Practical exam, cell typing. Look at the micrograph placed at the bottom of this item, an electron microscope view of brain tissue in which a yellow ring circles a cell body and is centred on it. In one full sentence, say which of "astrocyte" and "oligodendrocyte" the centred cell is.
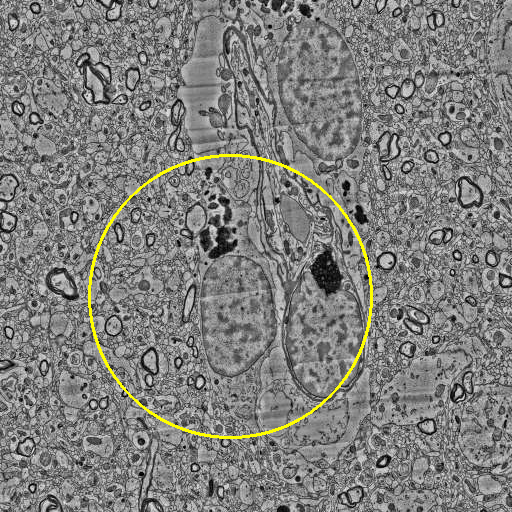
Given the options, an oligodendrocyte fits the cell whose body the yellow ring is centred on.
